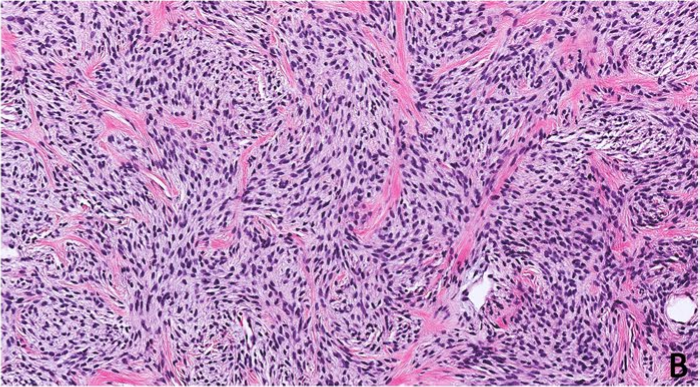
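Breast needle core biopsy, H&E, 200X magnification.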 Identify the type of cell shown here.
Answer: spindle-cell lesion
